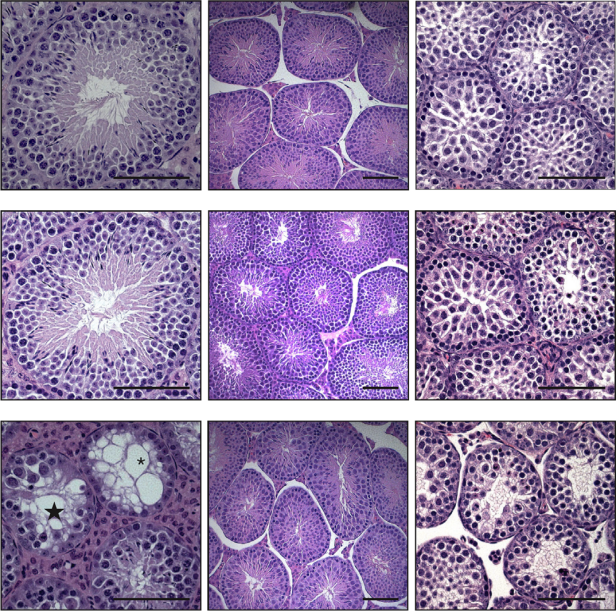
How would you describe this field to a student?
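These are cross-sections of seminiferous tubules of the testis, stained pink and purple, each tubule lined by many layers of germ cells with dark purple nuclei around a central lumen. In most tubules the cells mature from the edge toward the middle, and the lumen is filled with a pale pink fringe of sperm tails. In the lower-left image some tubules instead hold only pale vacuoles or a few large round cells without this fringe.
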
